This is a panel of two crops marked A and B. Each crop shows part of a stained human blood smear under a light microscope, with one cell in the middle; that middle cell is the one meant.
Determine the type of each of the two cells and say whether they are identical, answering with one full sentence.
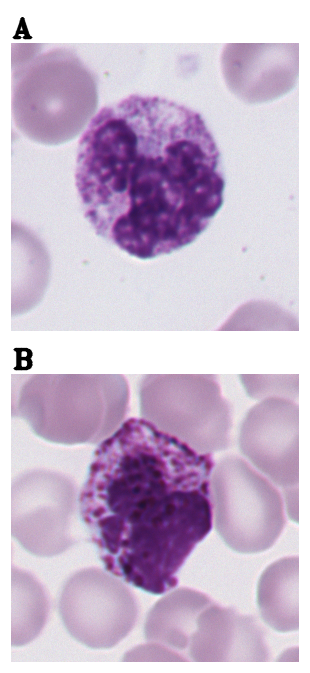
No, crop A captures a segmented neutrophil, and crop B captures a basophil.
